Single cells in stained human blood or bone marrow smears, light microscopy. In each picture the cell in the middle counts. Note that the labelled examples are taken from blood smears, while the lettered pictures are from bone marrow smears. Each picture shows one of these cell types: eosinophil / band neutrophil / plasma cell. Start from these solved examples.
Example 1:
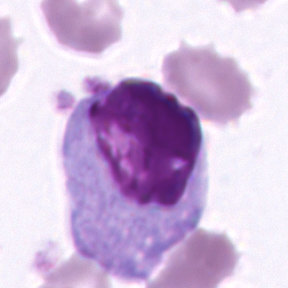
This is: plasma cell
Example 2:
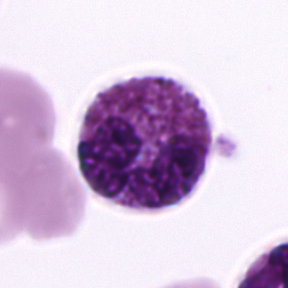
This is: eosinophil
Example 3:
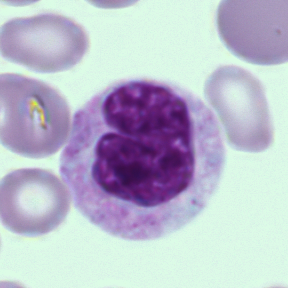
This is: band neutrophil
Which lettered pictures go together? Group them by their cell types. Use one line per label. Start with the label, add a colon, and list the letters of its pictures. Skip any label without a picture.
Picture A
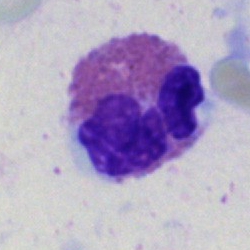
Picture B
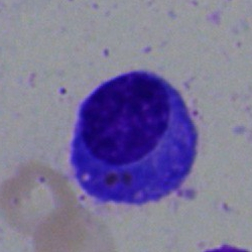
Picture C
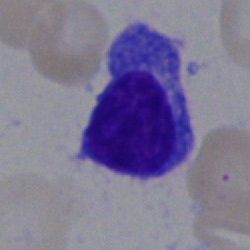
eosinophil: A
plasma cell: B, C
